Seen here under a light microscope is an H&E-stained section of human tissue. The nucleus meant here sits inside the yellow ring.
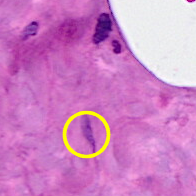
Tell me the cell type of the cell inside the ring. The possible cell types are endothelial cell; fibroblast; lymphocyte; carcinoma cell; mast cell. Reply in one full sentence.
Cell type answer for this item: the cell inside the ring is a fibroblast.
